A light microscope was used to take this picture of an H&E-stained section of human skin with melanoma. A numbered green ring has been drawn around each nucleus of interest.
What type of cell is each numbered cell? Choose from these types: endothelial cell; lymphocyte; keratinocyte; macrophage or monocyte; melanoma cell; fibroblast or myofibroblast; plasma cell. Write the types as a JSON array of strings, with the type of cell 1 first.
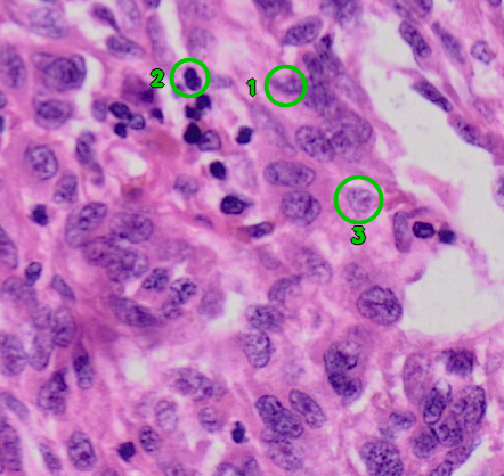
["melanoma cell", "lymphocyte", "melanoma cell"]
